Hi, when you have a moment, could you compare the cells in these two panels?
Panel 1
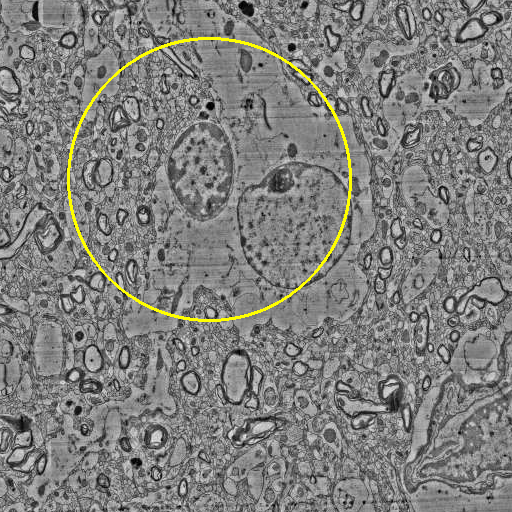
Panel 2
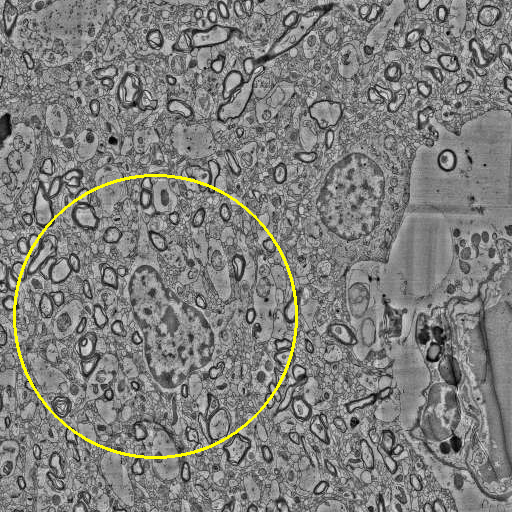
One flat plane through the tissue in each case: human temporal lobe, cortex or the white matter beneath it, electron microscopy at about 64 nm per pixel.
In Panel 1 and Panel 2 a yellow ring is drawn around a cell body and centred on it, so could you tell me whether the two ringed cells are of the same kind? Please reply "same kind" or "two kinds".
same kind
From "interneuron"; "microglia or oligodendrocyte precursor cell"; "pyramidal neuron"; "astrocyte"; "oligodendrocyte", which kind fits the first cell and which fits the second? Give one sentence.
Each of the two cells is a microglial cell or oligodendrocyte precursor cell.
